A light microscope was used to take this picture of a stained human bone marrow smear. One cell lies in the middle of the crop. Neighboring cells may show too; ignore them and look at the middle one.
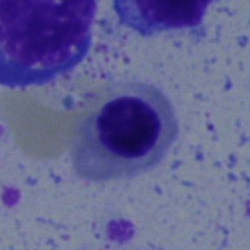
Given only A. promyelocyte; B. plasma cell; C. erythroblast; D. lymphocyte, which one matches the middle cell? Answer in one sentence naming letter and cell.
What sits in the middle of the crop is an erythroblast, and option C is correct.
